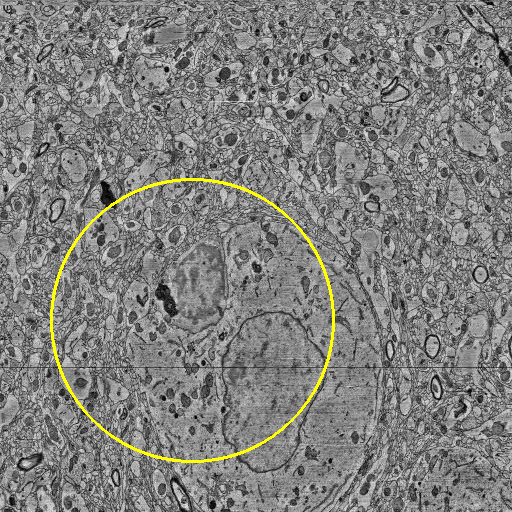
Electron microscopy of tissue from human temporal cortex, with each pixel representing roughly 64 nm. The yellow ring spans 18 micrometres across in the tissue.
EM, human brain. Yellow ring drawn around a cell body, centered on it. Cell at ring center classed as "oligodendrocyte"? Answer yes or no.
yes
